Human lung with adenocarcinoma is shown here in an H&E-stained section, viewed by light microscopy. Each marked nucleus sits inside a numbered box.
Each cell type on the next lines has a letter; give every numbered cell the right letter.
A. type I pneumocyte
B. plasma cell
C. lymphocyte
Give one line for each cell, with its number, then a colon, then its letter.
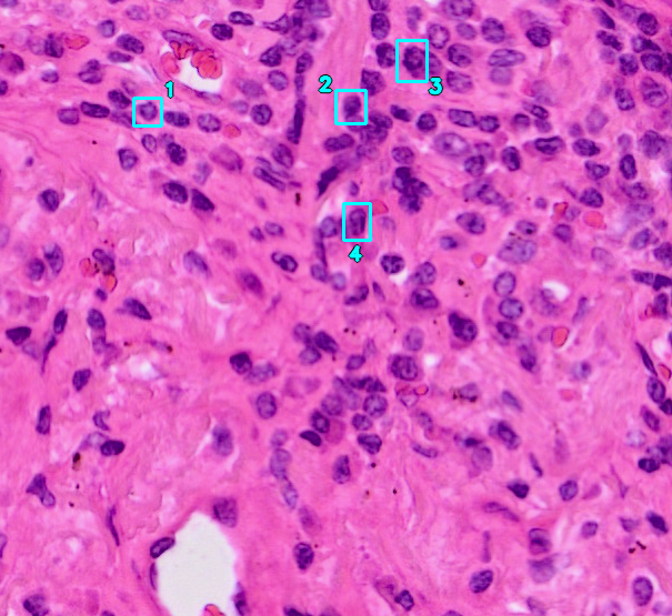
1: C
2: C
3: C
4: B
